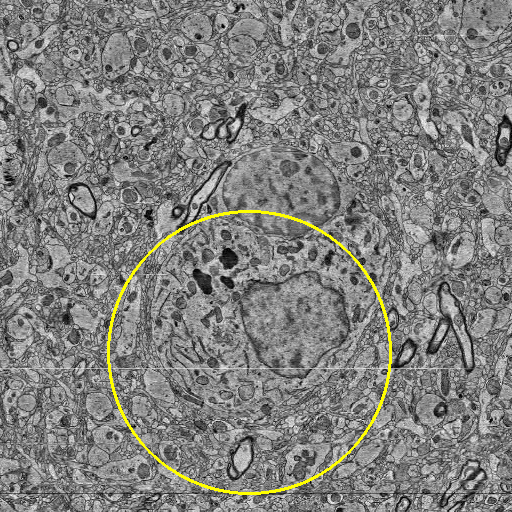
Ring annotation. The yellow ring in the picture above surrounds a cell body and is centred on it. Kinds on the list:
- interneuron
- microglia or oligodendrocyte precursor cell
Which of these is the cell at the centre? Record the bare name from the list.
interneuron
